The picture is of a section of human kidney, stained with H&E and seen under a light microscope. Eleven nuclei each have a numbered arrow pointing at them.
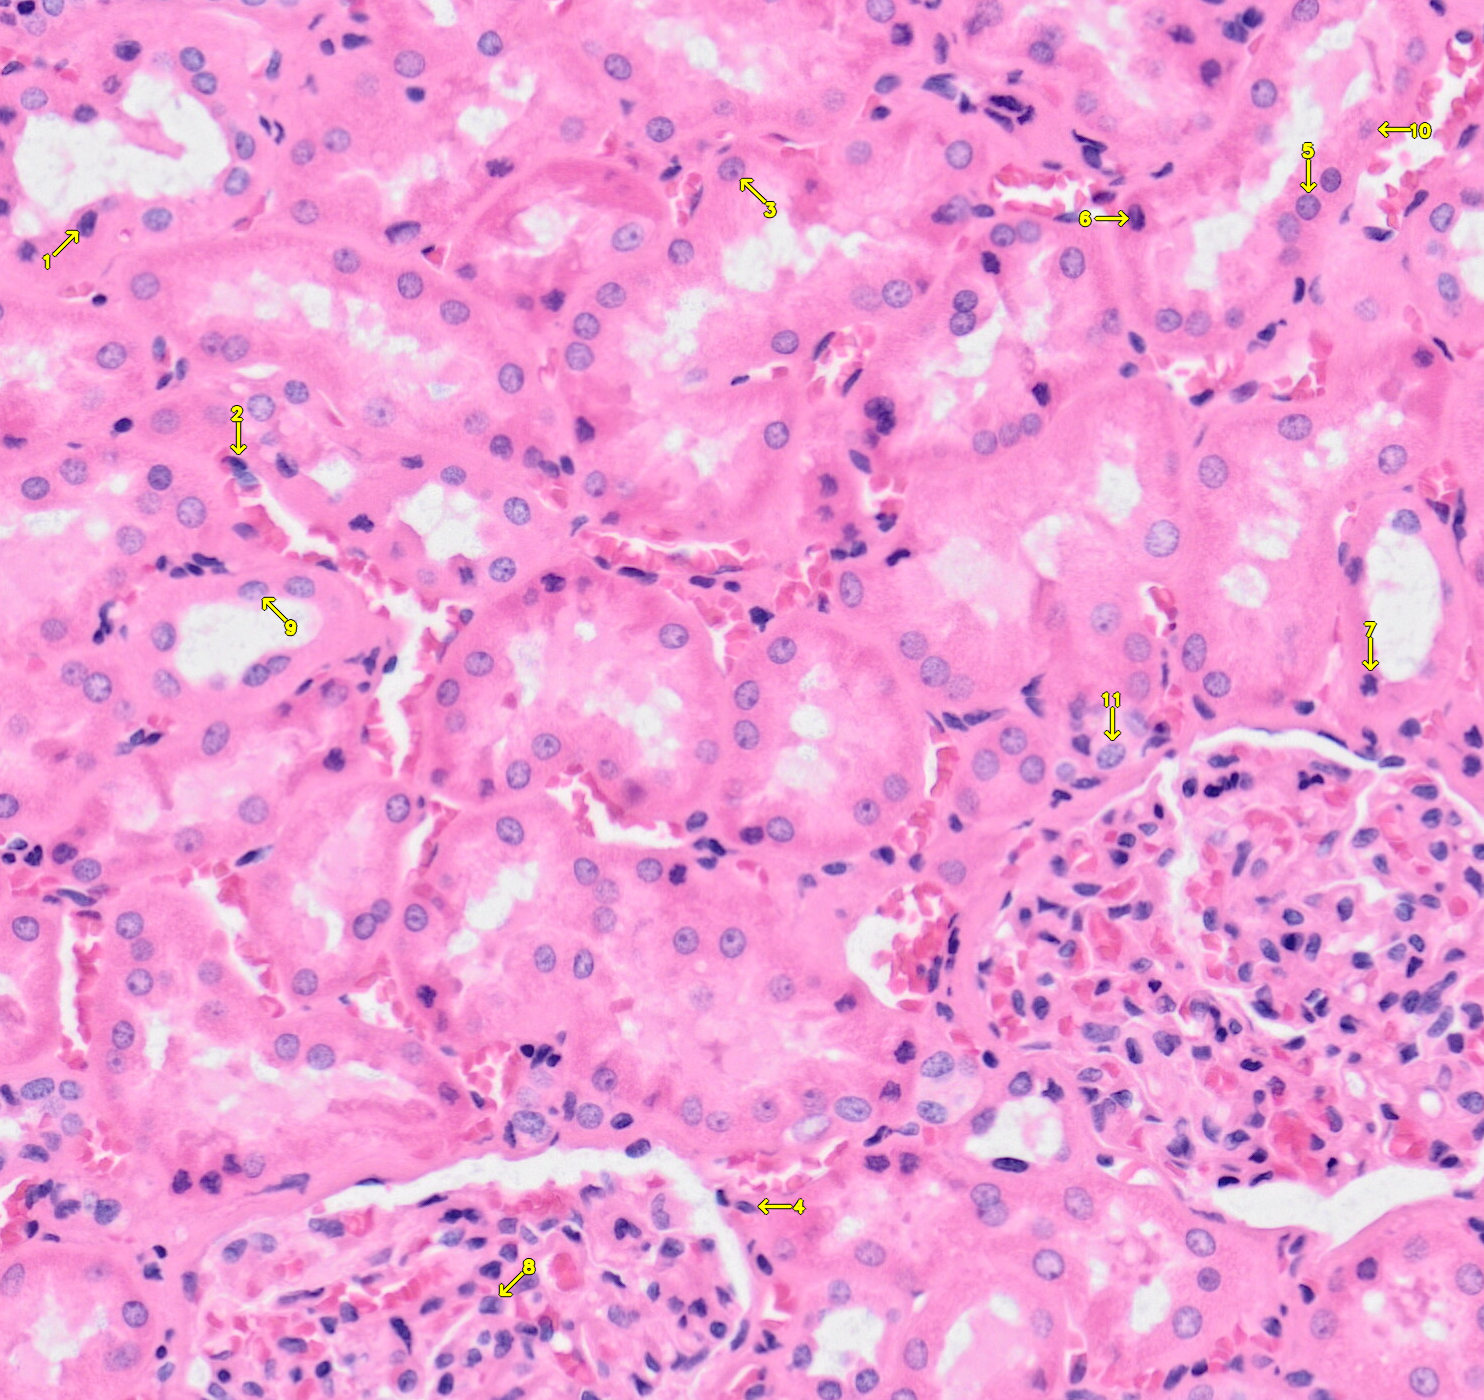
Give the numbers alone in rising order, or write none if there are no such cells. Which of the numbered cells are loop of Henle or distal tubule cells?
1, 7, 9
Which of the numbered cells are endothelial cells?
2, 4, 8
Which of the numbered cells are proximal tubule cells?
3, 5, 6, 10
